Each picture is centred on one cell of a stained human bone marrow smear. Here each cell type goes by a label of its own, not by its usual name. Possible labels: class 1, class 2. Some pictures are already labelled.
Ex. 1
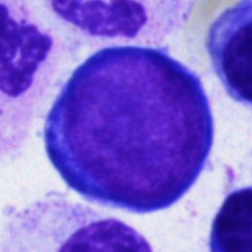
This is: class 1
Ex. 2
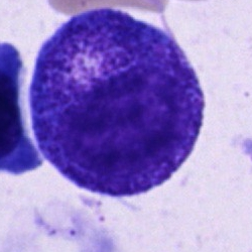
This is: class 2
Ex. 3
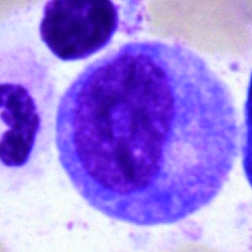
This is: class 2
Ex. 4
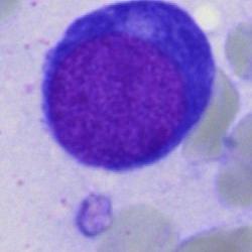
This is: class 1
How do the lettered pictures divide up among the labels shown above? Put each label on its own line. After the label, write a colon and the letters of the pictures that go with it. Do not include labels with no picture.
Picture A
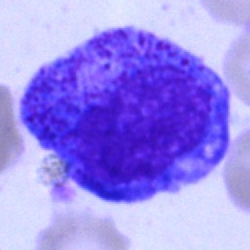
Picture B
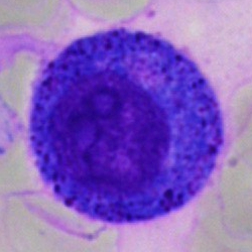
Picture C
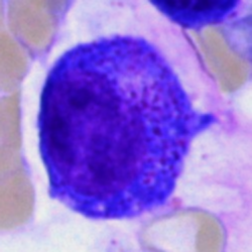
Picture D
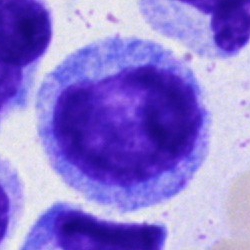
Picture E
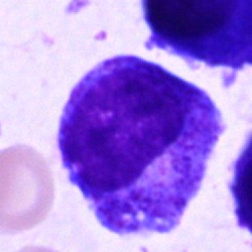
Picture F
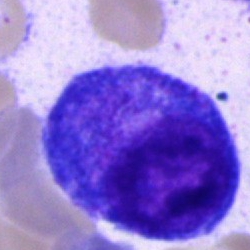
class 1: B
class 2: A, C, D, E, F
